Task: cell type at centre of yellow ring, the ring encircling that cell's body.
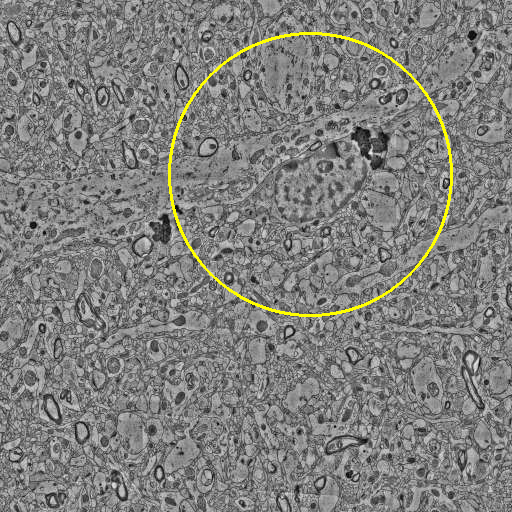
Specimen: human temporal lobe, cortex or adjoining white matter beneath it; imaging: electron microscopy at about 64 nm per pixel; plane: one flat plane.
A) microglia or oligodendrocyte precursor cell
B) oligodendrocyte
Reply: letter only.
B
